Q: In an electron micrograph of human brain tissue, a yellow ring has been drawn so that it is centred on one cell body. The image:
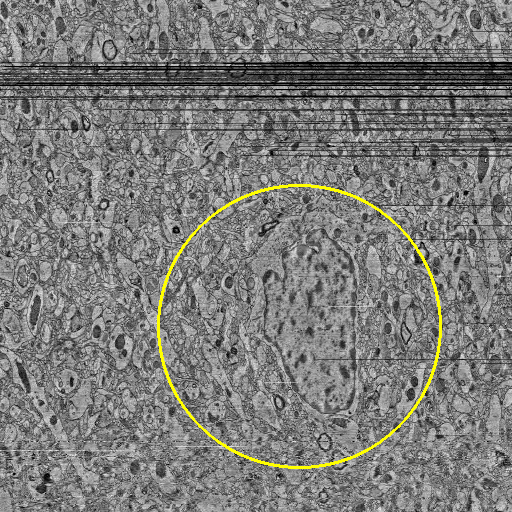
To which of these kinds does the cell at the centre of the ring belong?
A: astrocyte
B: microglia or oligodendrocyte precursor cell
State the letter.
B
